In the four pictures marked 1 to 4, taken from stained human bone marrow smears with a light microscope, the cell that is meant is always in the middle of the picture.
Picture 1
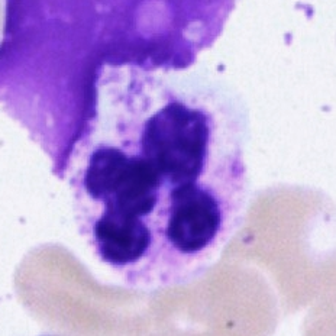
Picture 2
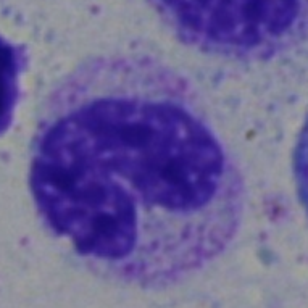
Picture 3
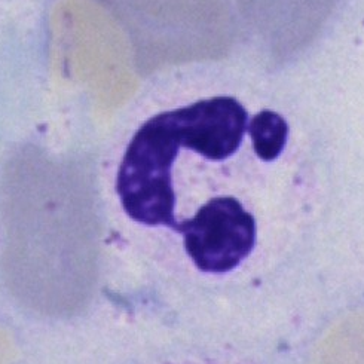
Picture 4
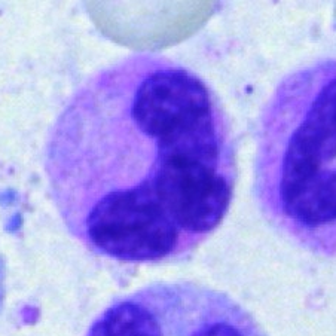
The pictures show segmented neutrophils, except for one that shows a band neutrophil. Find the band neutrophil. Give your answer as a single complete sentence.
It is picture 2 that shows the band neutrophil.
